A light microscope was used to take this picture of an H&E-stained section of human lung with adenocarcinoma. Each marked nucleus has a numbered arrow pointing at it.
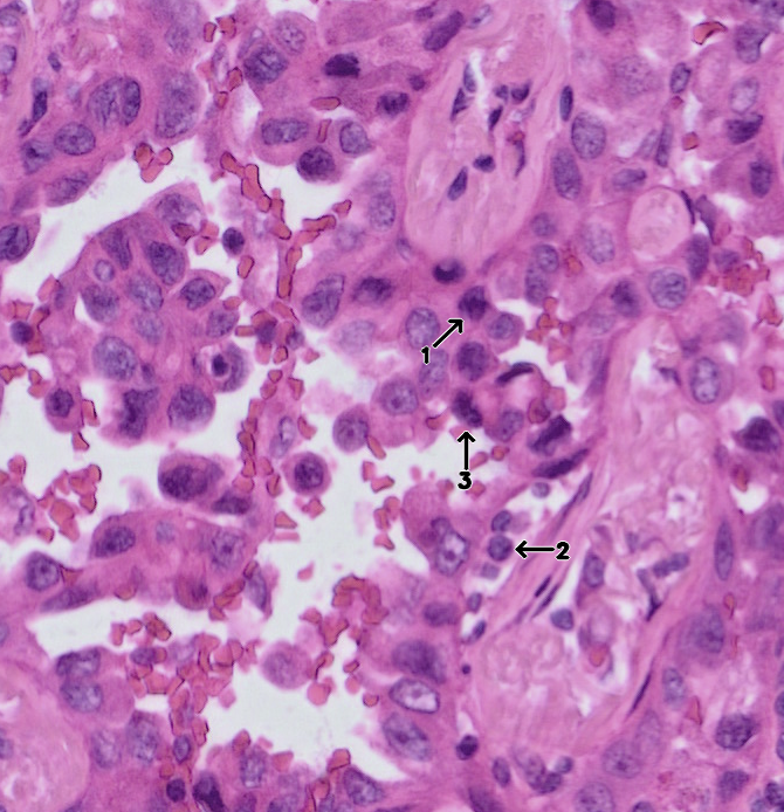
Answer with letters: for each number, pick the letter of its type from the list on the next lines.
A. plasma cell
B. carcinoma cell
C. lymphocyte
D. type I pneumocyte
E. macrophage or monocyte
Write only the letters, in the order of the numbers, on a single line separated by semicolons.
B; C; B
